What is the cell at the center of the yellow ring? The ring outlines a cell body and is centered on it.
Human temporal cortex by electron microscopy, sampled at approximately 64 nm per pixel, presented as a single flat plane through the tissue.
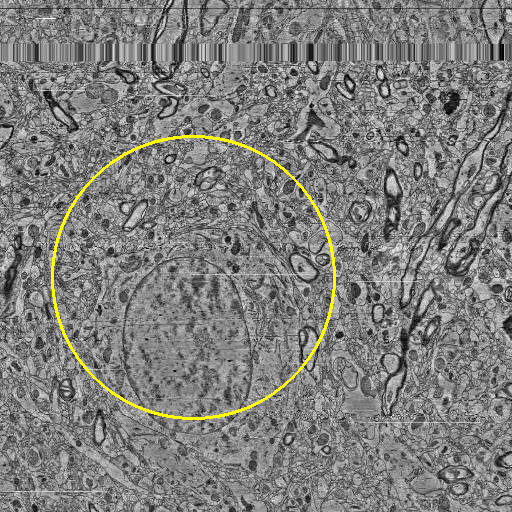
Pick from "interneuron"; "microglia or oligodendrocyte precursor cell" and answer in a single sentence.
The yellow ring is centered on an interneuron.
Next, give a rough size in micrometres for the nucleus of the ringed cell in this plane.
Approximately 12 micrometres long and 8 micrometres wide, in this plane.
